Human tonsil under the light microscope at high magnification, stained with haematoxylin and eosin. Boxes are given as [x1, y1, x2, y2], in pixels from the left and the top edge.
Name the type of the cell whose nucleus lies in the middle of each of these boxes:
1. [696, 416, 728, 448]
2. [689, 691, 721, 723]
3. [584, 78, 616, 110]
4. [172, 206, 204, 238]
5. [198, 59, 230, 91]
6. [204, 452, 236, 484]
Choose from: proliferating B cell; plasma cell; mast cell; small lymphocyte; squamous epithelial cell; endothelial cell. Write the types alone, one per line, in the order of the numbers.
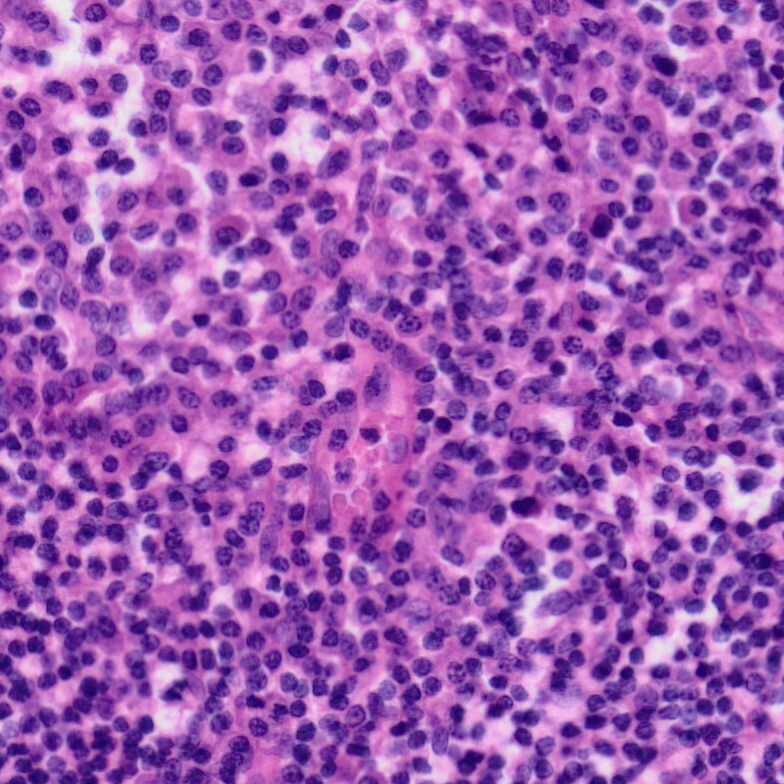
small lymphocyte
small lymphocyte
plasma cell
plasma cell
plasma cell
plasma cell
